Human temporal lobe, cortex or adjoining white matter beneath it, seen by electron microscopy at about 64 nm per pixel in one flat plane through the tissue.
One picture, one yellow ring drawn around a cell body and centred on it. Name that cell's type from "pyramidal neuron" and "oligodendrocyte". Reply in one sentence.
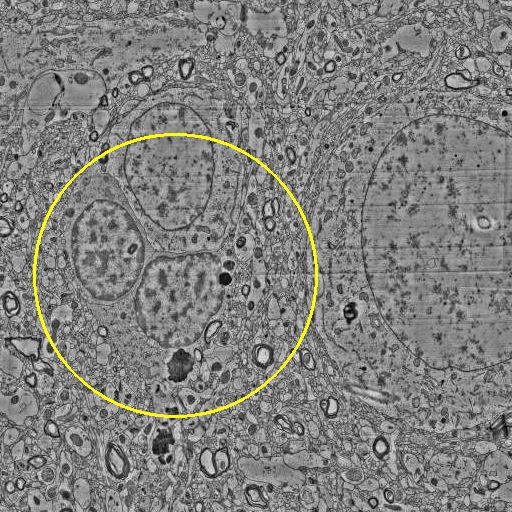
Centred in the ring is an oligodendrocyte.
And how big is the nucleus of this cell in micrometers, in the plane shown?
The nucleus works out at approximately 7 by 6 micrometres in this plane.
